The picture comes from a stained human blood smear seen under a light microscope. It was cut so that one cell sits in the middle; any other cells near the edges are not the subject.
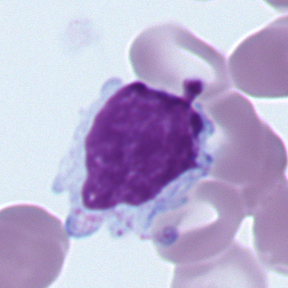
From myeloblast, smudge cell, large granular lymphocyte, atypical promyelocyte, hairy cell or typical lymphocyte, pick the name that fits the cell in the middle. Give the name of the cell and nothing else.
large granular lymphocyte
